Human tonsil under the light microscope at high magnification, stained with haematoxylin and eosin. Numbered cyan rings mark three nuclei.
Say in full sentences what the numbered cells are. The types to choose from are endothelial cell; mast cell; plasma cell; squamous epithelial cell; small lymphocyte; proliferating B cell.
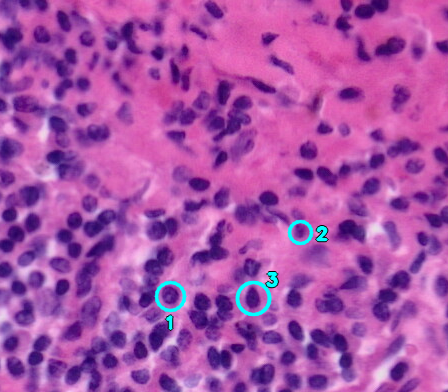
Cell 1 is a plasma cell, cell 2 is an endothelial cell and cell 3 is a plasma cell.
